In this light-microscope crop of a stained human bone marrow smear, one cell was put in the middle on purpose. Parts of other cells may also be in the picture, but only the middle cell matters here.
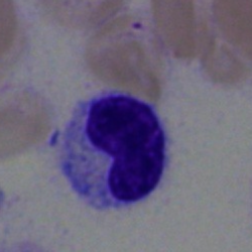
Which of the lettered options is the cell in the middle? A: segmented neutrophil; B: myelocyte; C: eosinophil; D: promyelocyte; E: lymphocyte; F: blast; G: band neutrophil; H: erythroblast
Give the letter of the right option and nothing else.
G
